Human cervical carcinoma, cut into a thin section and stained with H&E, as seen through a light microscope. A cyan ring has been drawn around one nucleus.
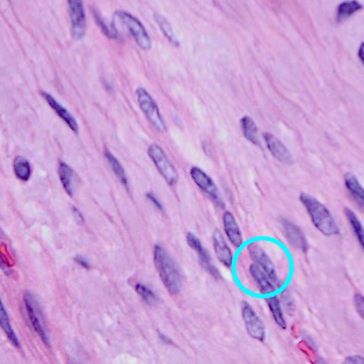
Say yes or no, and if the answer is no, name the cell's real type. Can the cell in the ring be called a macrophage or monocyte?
No, it is an endothelial cell.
